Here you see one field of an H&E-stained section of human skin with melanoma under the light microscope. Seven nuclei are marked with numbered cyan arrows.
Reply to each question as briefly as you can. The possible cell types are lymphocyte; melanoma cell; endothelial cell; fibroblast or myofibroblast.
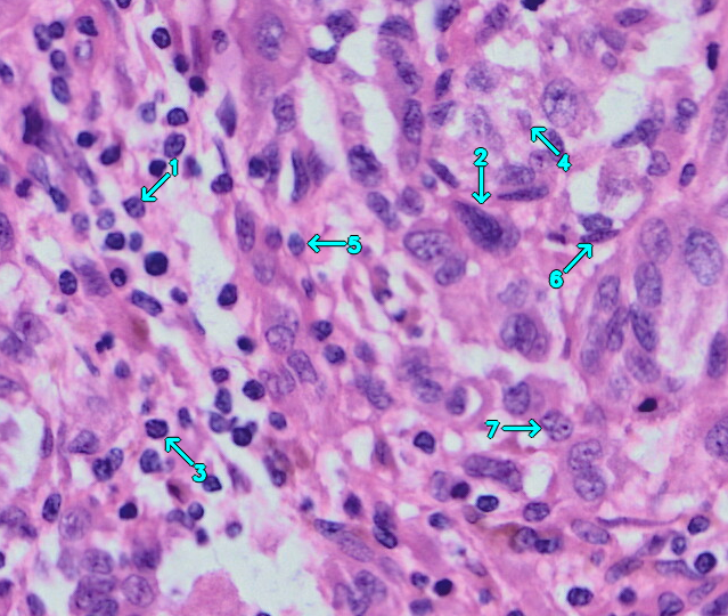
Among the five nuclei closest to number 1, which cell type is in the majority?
lymphocyte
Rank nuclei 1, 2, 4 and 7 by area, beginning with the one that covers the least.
4, 1, 7, 2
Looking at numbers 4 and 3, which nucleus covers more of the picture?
3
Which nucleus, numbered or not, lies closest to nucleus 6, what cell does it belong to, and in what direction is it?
a melanoma cell above nucleus 6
